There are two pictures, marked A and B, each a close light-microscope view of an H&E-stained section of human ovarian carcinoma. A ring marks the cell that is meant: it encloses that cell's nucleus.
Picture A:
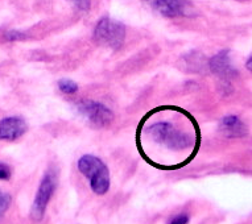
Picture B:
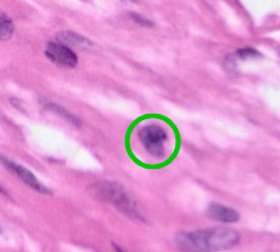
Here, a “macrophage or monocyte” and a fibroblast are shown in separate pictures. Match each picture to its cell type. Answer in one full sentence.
Picture A shows a fibroblast and picture B shows a “macrophage or monocyte”.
